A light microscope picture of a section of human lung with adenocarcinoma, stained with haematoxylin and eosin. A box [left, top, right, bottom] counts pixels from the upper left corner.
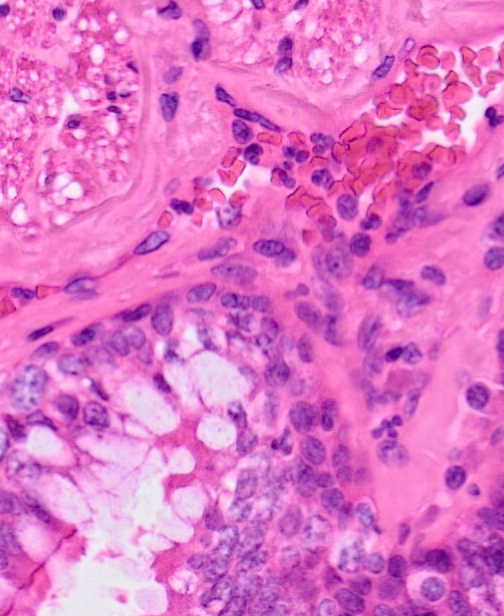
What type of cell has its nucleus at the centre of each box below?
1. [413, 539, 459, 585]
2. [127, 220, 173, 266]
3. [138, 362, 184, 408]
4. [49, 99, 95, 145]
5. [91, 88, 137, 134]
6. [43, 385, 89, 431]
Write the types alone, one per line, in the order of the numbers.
ciliated epithelial cell
endothelial cell
ciliated epithelial cell
smooth muscle cell or pericyte
smooth muscle cell or pericyte
ciliated epithelial cell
